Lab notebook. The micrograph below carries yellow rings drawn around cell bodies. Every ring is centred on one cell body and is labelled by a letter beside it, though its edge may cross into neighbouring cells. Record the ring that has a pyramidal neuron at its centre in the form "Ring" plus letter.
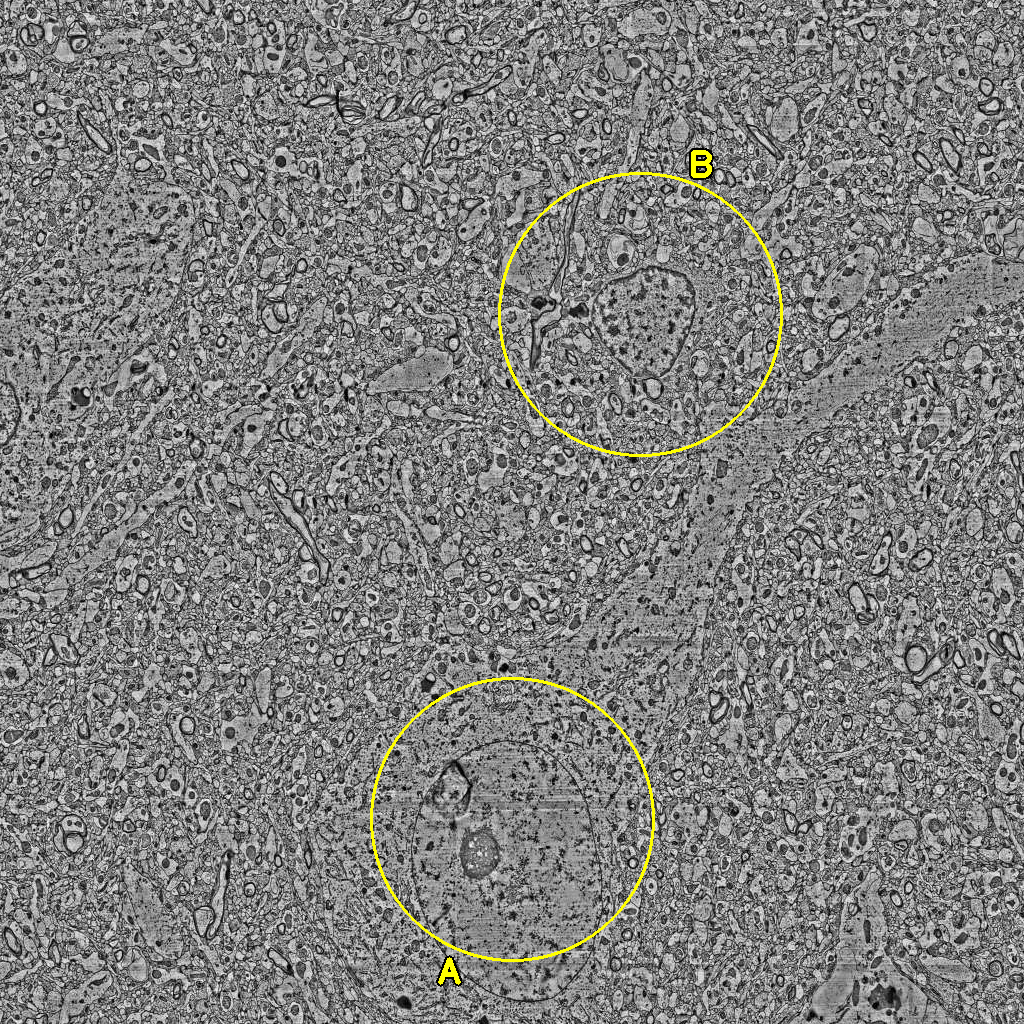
Ring A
